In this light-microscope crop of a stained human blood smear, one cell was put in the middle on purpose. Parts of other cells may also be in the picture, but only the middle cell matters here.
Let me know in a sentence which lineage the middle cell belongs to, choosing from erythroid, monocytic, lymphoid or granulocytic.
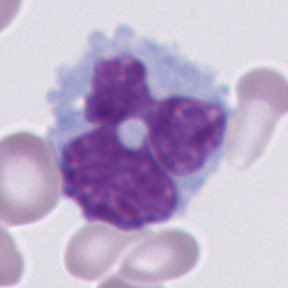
The middle cell is a constituent of the monocytic lineage.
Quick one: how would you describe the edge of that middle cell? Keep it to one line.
This cell has an uneven outline, either ragged or bearing projections.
